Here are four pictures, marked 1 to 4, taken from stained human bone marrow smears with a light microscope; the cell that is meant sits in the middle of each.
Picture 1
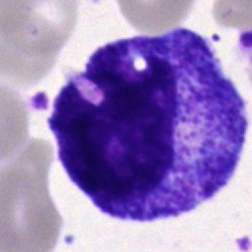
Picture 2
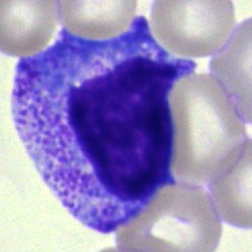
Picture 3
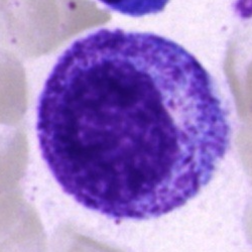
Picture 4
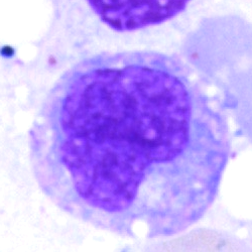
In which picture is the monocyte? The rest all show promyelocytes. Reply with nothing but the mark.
4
